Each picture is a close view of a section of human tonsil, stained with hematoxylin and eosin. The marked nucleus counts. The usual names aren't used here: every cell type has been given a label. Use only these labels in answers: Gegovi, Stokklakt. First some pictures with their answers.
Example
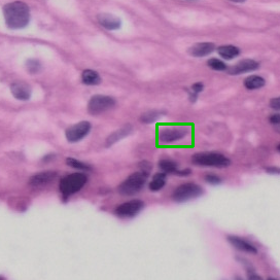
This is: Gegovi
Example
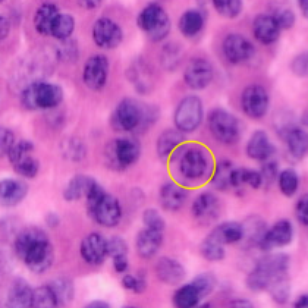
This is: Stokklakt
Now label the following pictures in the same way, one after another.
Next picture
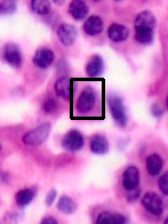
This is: Stokklakt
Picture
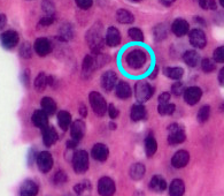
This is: Stokklakt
